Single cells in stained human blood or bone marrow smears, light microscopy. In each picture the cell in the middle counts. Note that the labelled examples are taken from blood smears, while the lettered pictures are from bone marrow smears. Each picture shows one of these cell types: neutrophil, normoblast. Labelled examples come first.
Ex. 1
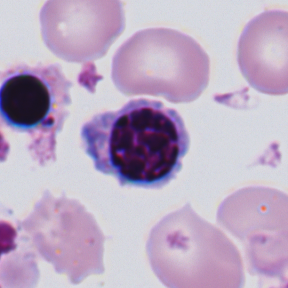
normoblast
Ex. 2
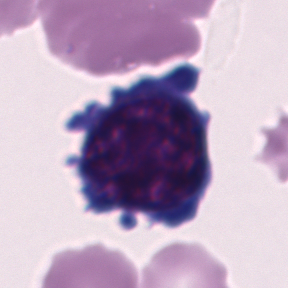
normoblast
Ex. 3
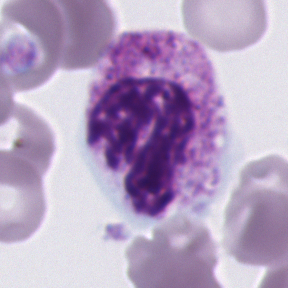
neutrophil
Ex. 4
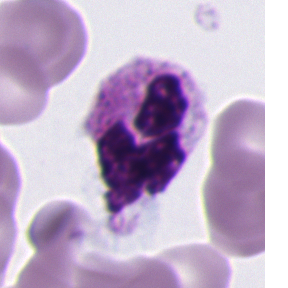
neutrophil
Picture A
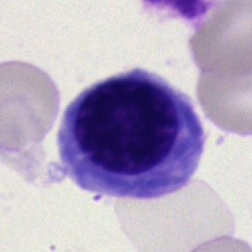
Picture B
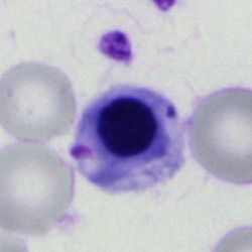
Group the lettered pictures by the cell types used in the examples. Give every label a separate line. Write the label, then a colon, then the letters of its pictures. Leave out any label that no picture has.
normoblast: A, B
